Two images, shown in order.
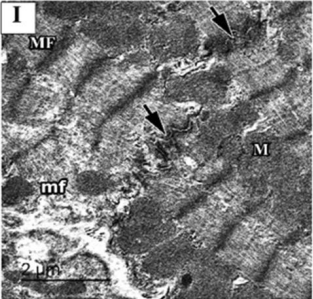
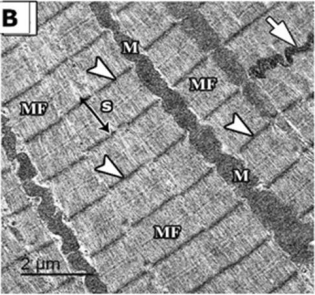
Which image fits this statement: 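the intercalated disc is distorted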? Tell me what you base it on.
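First image: the dense junctional material is irregular and smudged amid disordered fibrils. Second image: a crisp dark stepped line crosses regularly striated fibrils.
Answer: the first image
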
